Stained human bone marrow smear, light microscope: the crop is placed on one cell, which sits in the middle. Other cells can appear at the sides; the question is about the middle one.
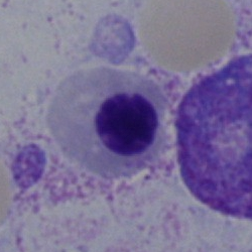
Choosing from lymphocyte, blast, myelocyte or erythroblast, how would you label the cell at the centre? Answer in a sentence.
Classified as an erythroblast is the cell in the middle of this crop.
